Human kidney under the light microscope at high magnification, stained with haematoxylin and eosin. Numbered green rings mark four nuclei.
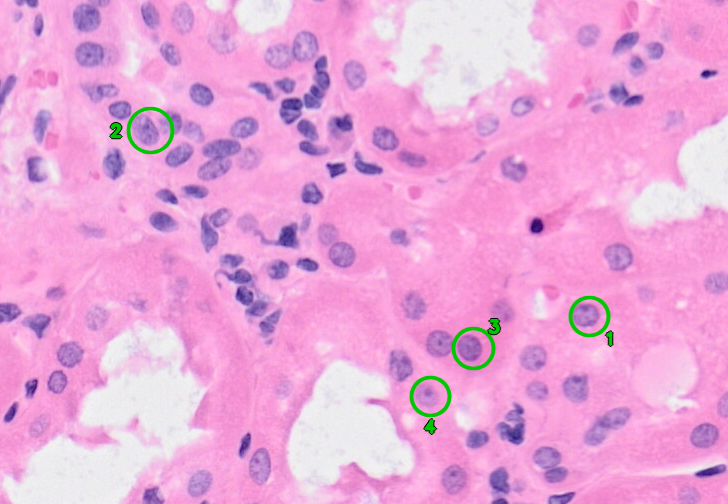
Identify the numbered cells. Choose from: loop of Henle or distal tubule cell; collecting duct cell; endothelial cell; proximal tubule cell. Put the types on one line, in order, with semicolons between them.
proximal tubule cell; collecting duct cell; proximal tubule cell; proximal tubule cell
